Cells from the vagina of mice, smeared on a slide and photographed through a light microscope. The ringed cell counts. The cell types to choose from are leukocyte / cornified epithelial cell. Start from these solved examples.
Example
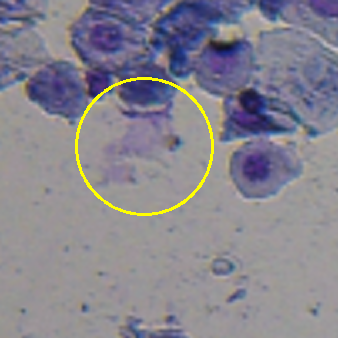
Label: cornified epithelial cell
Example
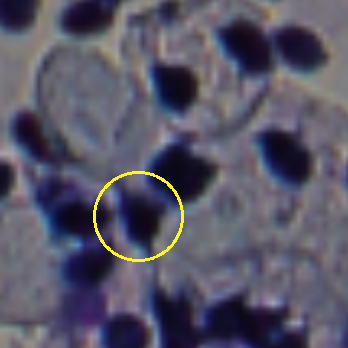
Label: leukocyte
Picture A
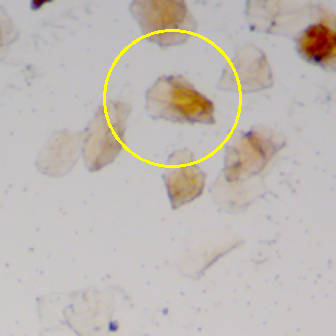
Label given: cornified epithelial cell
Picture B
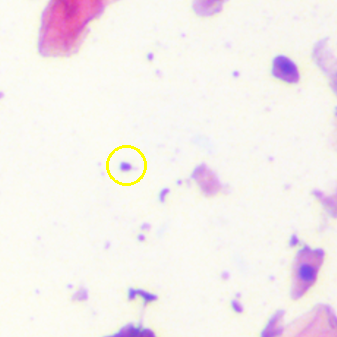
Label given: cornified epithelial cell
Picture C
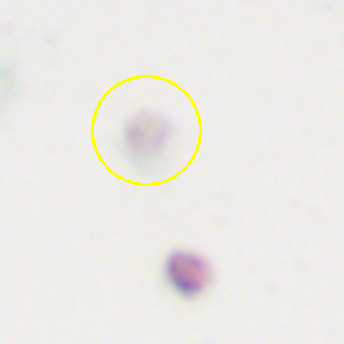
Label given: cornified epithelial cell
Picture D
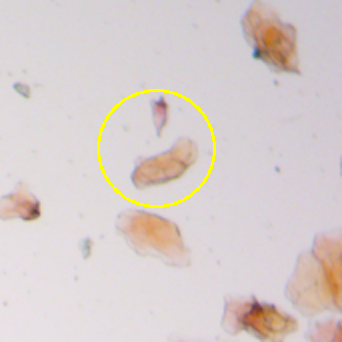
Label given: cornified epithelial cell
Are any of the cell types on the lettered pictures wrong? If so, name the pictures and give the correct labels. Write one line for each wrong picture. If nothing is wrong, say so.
B should be leukocyte, not cornified epithelial cell
C should be leukocyte, not cornified epithelial cell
